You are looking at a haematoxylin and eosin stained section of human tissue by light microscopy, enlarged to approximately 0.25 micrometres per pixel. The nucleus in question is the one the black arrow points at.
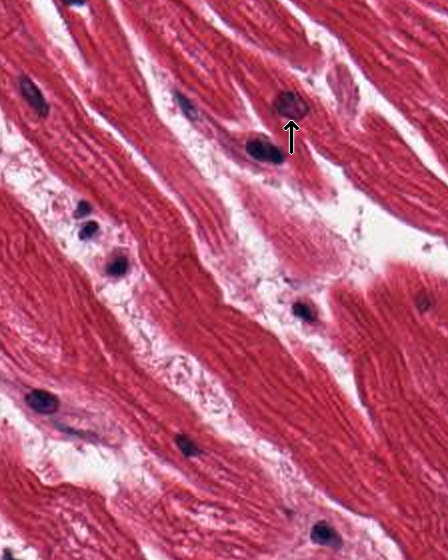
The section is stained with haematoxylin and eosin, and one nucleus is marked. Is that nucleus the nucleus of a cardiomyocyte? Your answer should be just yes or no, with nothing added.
yes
